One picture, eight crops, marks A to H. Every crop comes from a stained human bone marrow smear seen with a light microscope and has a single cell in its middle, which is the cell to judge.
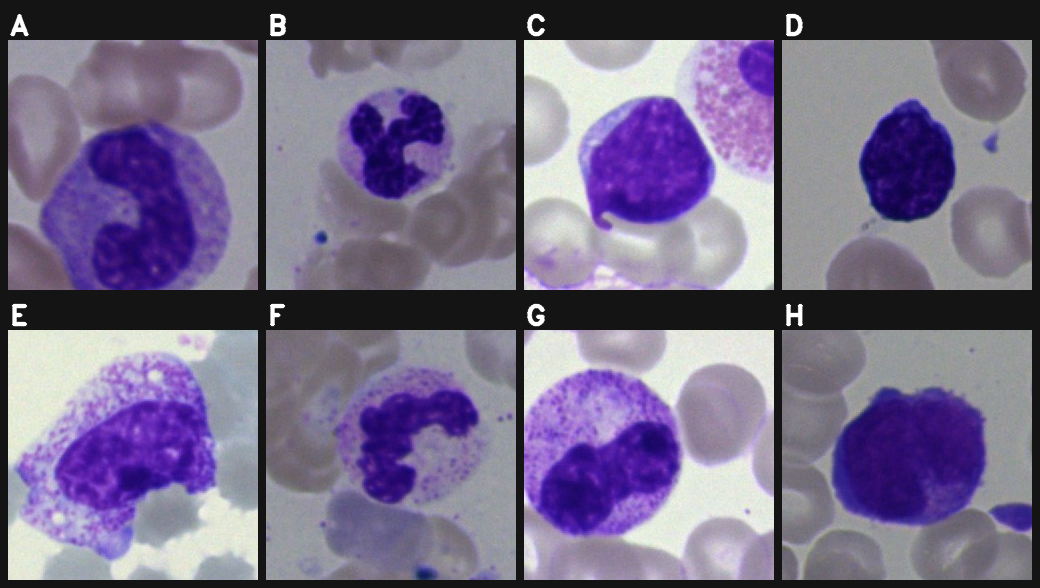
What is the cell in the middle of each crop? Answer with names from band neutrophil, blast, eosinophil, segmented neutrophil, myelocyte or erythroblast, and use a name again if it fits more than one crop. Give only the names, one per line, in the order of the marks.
band neutrophil
segmented neutrophil
blast
blast
myelocyte
segmented neutrophil
band neutrophil
blast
